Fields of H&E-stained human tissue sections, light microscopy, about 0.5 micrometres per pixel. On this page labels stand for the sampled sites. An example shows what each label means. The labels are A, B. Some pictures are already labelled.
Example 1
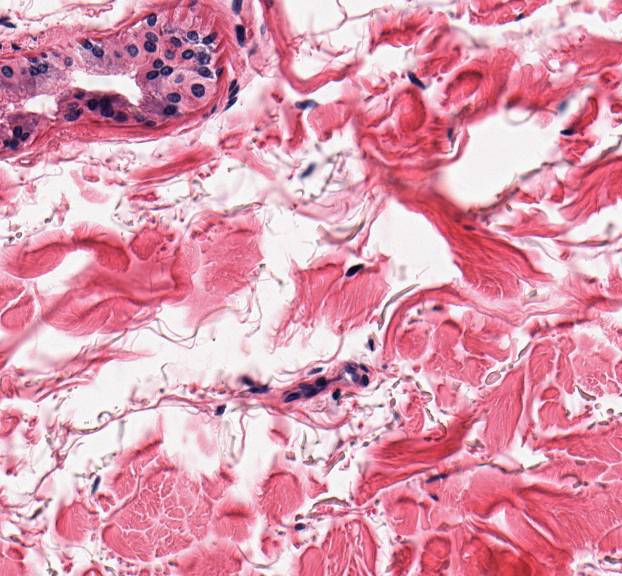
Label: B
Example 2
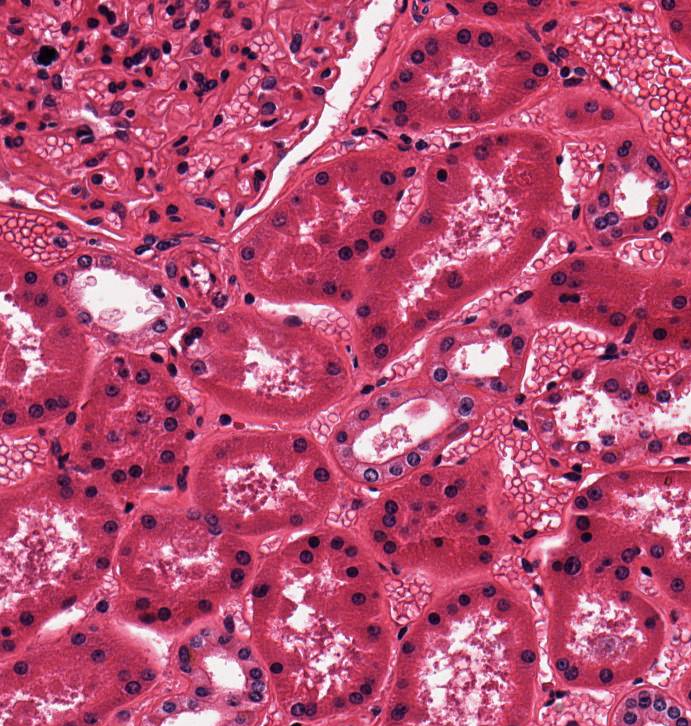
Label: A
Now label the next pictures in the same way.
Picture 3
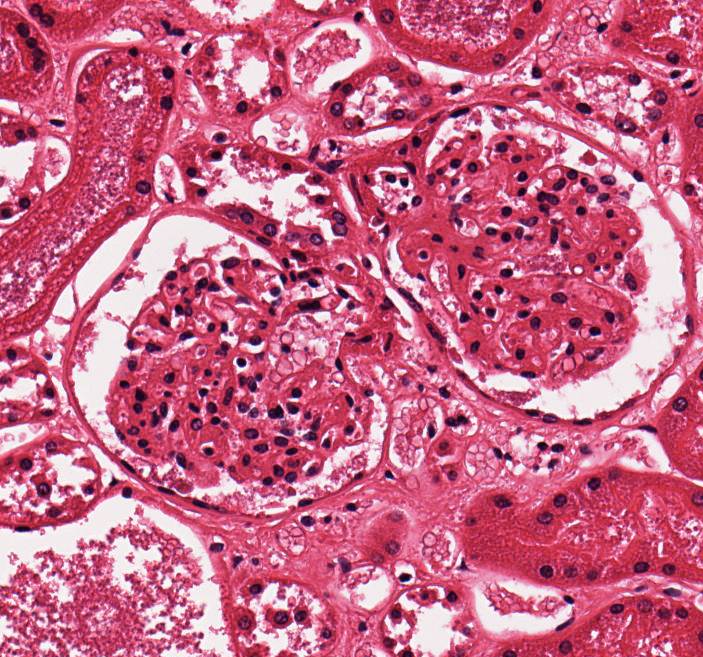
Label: A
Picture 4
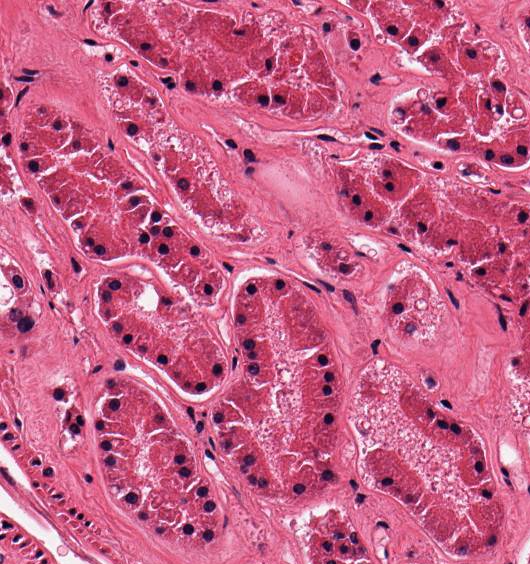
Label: A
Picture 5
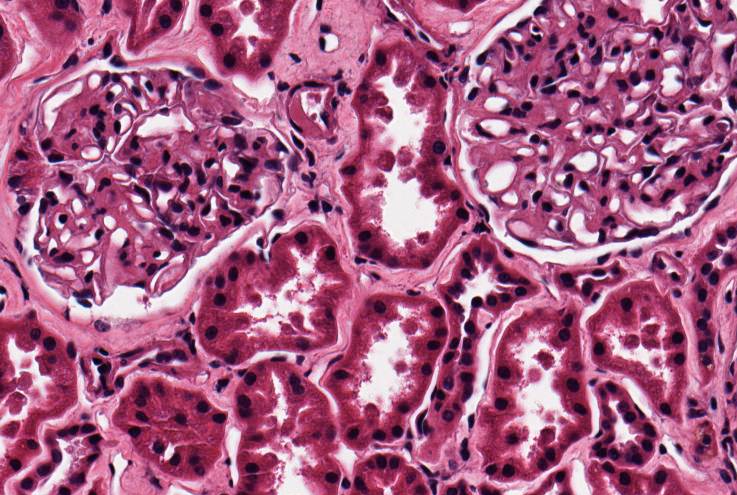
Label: A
